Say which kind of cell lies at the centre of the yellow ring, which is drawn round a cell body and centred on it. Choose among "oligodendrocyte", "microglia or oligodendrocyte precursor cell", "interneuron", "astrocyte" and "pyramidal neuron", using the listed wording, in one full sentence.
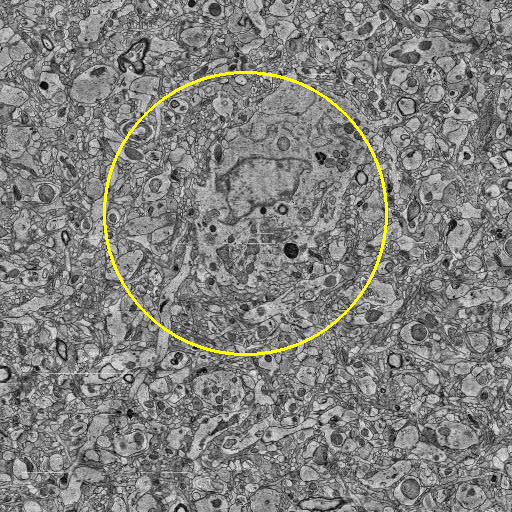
Going by the list, the cell at the yellow ring's centre is an interneuron.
